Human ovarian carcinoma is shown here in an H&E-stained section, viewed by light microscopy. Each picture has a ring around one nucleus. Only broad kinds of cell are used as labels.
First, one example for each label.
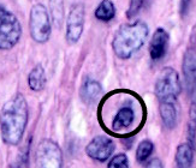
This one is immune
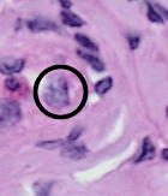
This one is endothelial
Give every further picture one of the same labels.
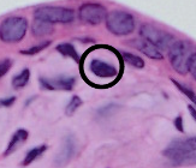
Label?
immune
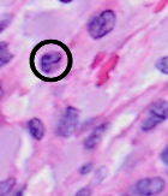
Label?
immune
